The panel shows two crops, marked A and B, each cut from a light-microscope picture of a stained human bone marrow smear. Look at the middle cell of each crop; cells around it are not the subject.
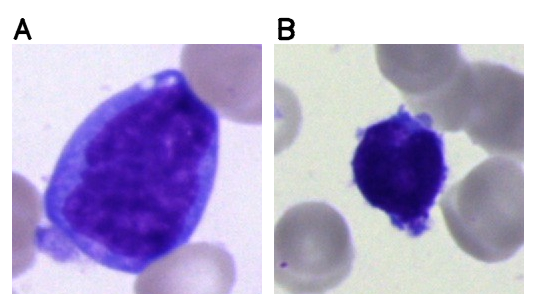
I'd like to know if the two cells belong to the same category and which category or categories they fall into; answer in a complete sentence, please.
Yes, both of the crops in this pair show blasts, one cell in each crop.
